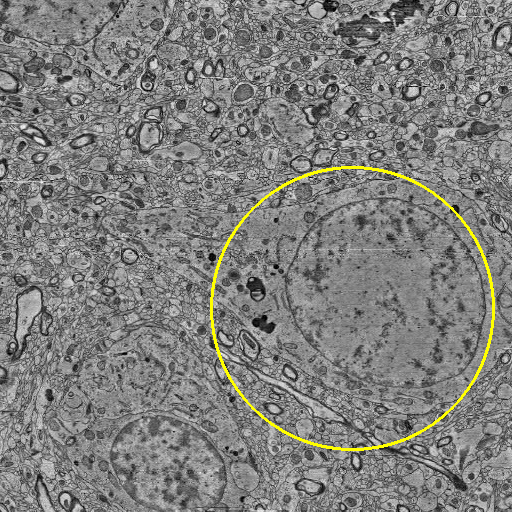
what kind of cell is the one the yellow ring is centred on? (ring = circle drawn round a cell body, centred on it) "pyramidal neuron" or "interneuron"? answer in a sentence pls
The ring is drawn around a pyramidal neuron.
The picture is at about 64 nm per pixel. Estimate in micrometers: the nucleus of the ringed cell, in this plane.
The nucleus measures about 13 micrometers across in this plane.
